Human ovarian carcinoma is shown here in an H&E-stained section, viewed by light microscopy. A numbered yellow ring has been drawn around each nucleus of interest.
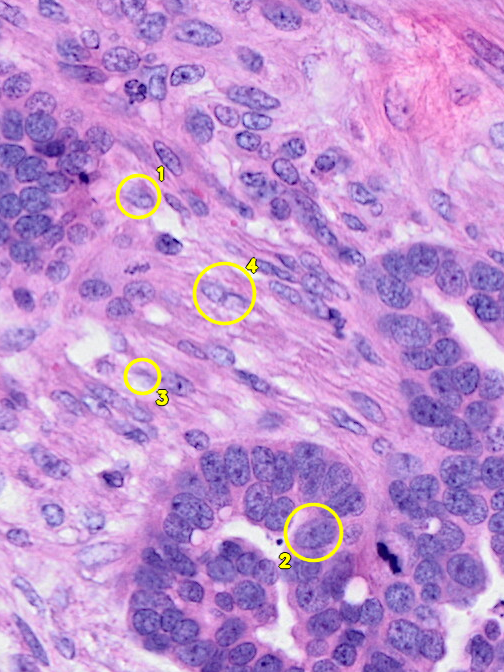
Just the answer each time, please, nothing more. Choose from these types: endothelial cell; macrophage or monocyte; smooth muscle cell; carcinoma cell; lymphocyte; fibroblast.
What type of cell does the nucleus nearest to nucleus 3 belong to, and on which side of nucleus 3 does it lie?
a fibroblast, to the right of nucleus 3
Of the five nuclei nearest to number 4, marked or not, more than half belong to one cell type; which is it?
fibroblast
